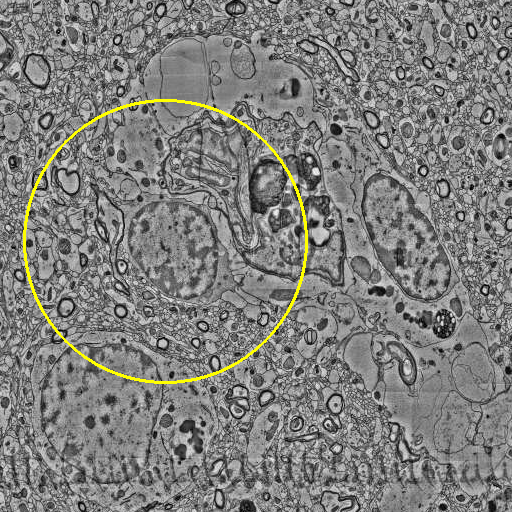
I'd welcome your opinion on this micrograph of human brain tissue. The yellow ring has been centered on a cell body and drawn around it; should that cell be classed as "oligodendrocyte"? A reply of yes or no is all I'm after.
yes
